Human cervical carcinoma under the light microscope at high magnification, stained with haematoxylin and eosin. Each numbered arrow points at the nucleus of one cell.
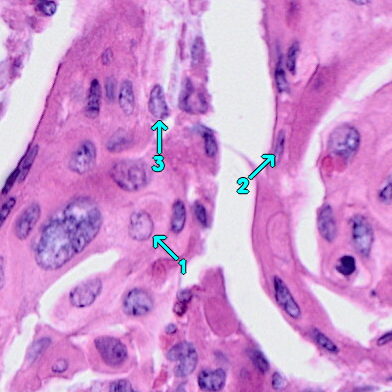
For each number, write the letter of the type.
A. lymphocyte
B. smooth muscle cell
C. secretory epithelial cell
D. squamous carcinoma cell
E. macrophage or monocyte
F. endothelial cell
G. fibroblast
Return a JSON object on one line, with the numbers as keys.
{"1": "D", "2": "D", "3": "E"}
